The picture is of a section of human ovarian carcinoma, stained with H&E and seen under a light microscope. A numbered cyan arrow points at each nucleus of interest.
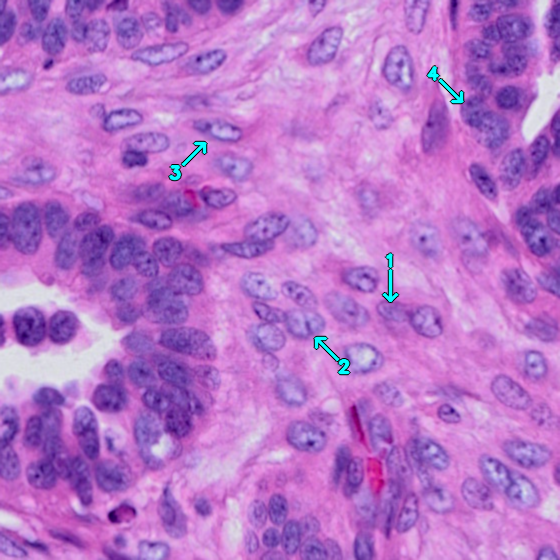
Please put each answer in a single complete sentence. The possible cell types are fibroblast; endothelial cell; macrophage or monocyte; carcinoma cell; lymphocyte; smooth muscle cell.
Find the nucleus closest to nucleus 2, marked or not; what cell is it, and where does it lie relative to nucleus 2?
A fibroblast lies closest, above nucleus 2.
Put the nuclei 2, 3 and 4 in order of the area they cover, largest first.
Largest first, the order by area is 2, 3, 4.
